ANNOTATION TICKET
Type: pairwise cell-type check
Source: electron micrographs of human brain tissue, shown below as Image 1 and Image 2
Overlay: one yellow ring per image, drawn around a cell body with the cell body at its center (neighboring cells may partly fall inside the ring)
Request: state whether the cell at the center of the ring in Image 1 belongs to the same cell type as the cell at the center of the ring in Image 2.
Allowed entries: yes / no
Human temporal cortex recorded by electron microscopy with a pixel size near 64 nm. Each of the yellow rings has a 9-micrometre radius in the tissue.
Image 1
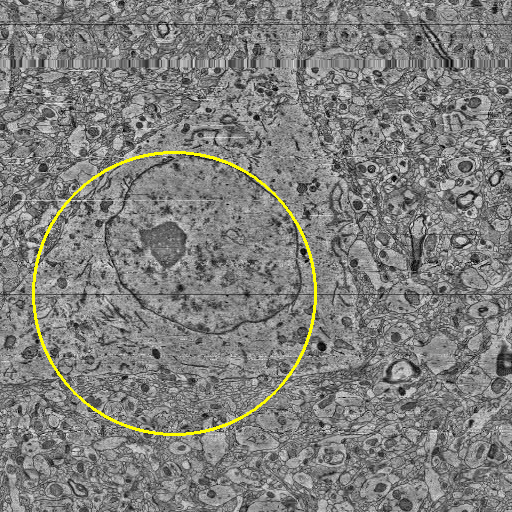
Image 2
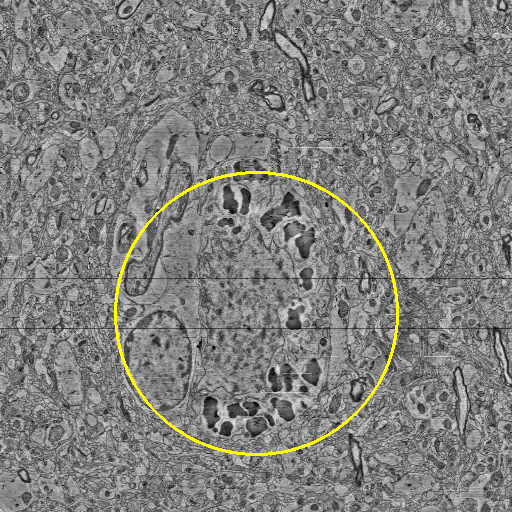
no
